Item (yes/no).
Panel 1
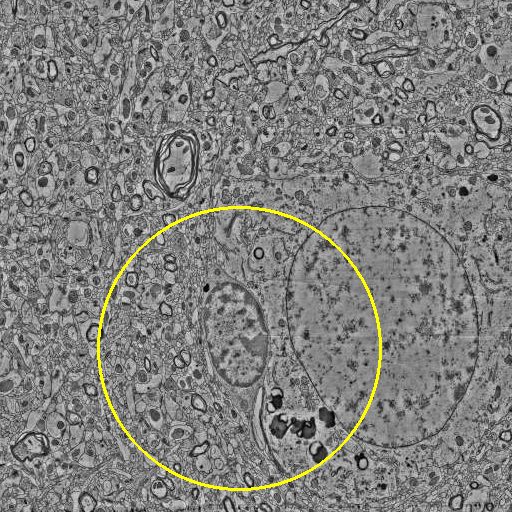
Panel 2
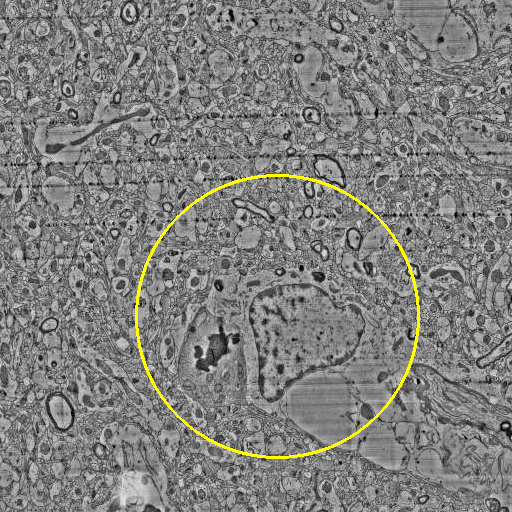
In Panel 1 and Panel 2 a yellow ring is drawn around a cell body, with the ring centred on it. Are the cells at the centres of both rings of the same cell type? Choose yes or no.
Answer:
no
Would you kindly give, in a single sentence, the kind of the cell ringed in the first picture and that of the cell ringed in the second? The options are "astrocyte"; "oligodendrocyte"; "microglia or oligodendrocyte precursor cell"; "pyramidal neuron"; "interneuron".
The second cell is a microglial cell or oligodendrocyte precursor cell, and the first cell is an oligodendrocyte.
